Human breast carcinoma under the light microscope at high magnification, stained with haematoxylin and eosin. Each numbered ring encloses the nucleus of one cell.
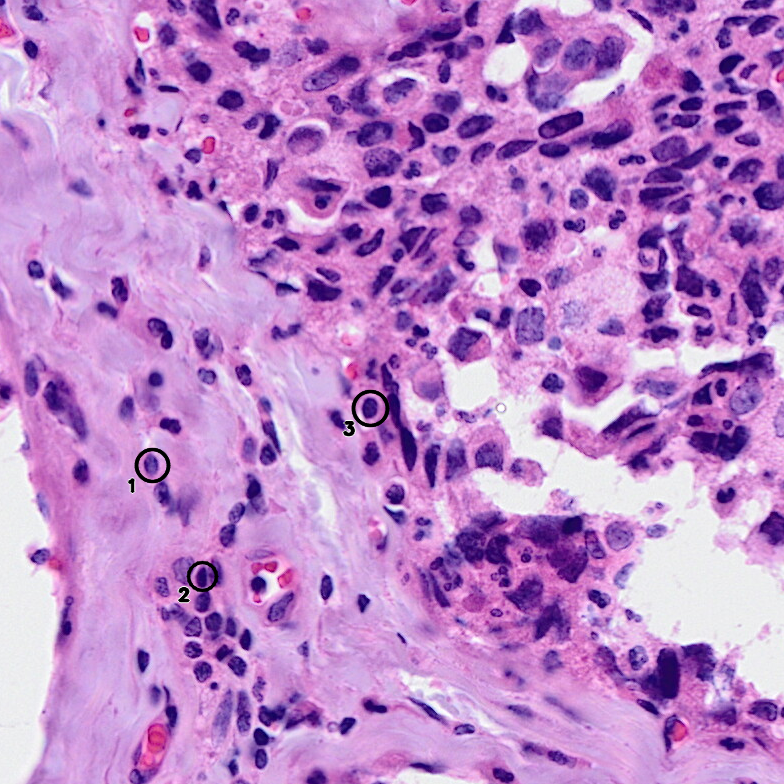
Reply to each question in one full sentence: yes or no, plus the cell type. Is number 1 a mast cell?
Yes, the cell corresponding to number 1 is a mast cell.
